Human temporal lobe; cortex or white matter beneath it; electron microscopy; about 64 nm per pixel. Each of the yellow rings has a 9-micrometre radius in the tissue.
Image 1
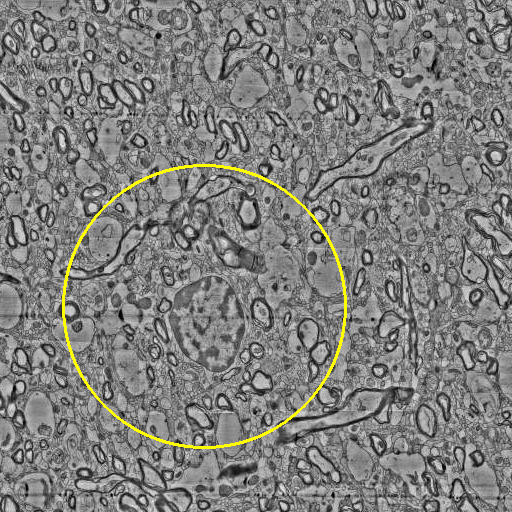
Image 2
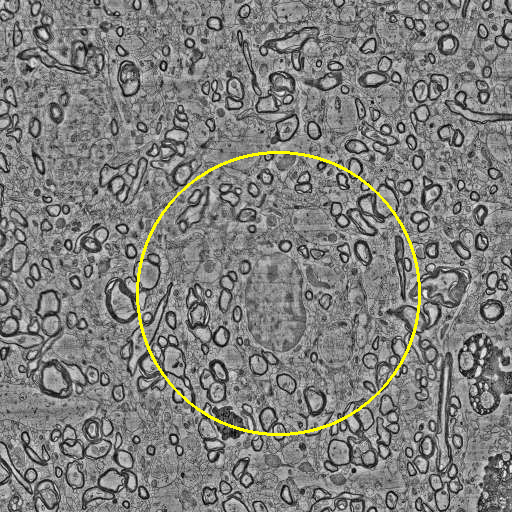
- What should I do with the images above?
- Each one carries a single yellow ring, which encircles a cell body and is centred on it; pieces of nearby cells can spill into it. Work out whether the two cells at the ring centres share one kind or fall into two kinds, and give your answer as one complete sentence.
The ring-centre cells of Image 1 and Image 2 share one kind.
